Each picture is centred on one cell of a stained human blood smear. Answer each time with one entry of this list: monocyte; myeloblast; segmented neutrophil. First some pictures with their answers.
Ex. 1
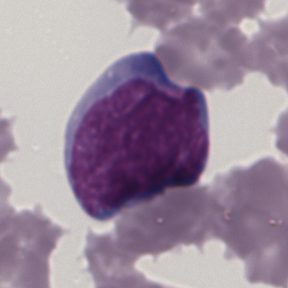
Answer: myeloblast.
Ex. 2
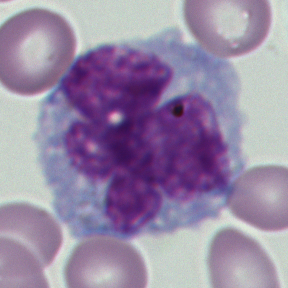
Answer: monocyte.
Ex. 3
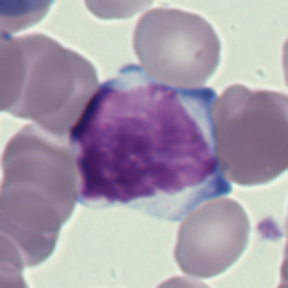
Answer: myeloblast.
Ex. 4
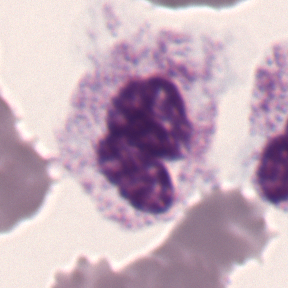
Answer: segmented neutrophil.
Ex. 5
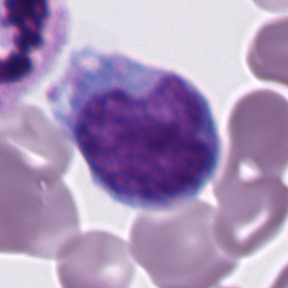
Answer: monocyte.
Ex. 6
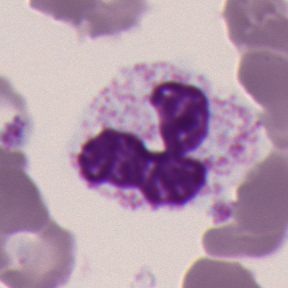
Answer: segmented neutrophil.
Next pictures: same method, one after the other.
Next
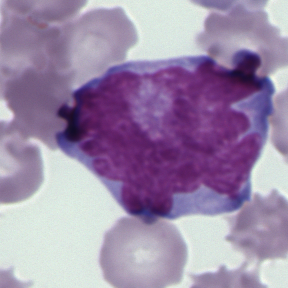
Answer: myeloblast.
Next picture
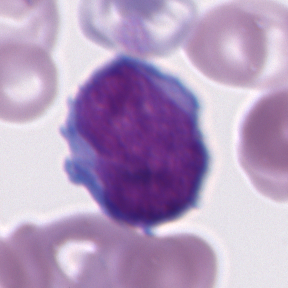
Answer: myeloblast.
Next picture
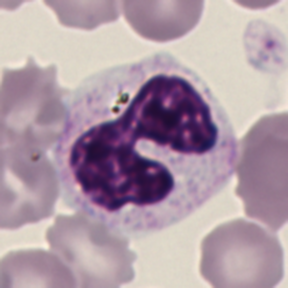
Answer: segmented neutrophil.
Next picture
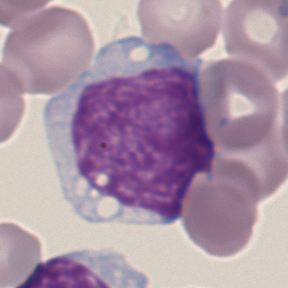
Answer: myeloblast.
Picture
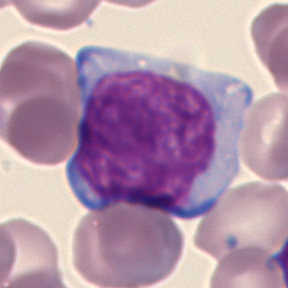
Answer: myeloblast.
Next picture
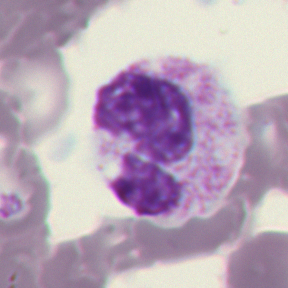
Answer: segmented neutrophil.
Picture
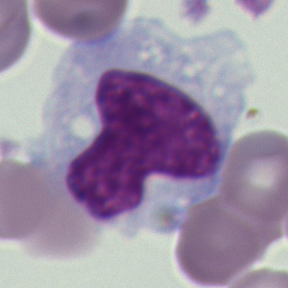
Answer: monocyte.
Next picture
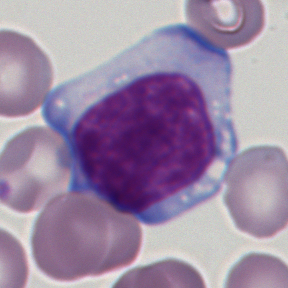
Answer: myeloblast.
